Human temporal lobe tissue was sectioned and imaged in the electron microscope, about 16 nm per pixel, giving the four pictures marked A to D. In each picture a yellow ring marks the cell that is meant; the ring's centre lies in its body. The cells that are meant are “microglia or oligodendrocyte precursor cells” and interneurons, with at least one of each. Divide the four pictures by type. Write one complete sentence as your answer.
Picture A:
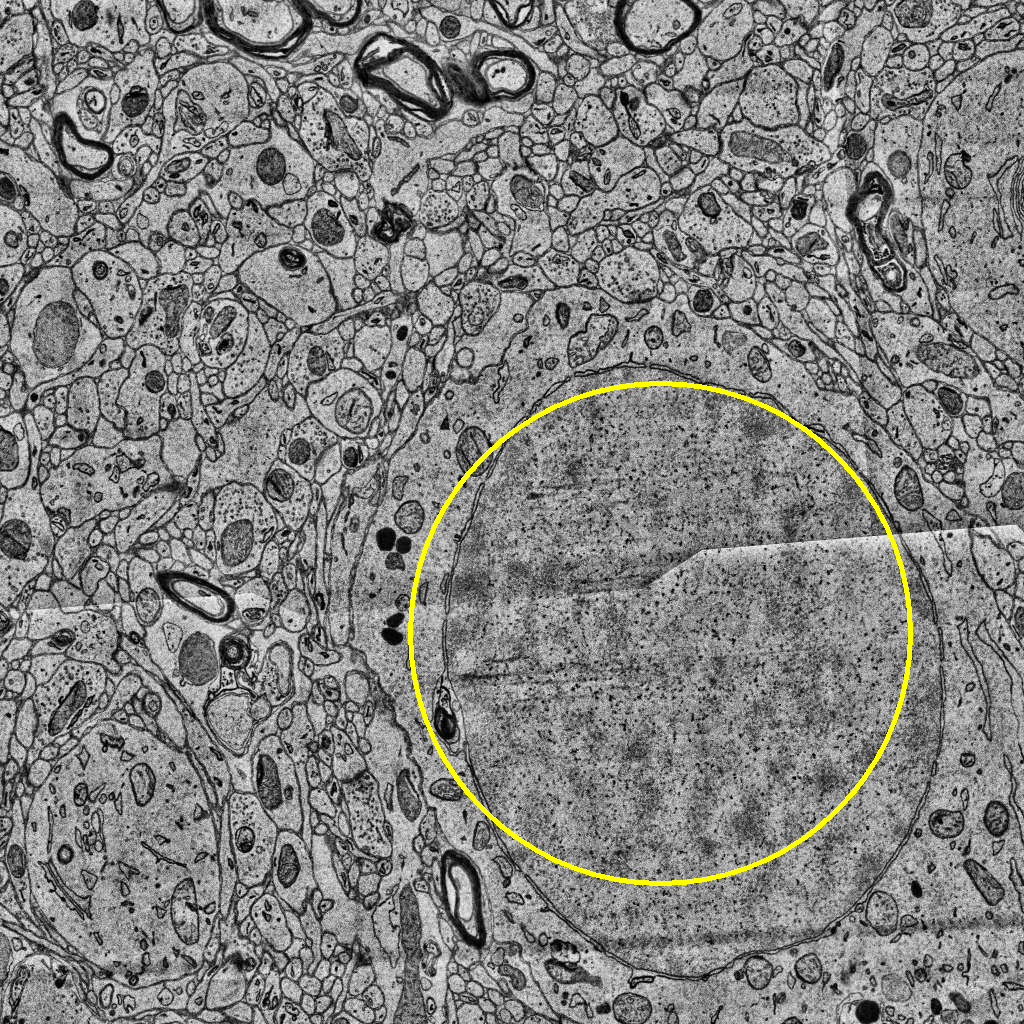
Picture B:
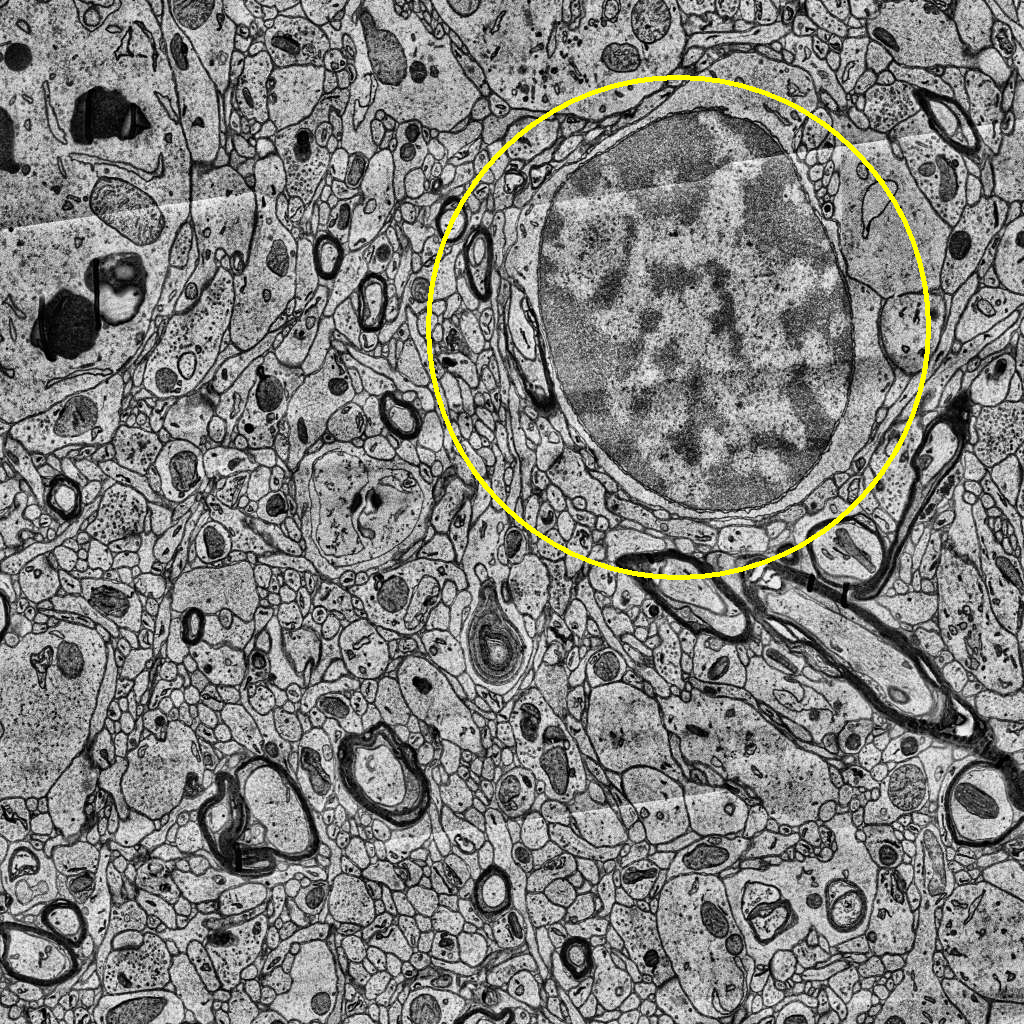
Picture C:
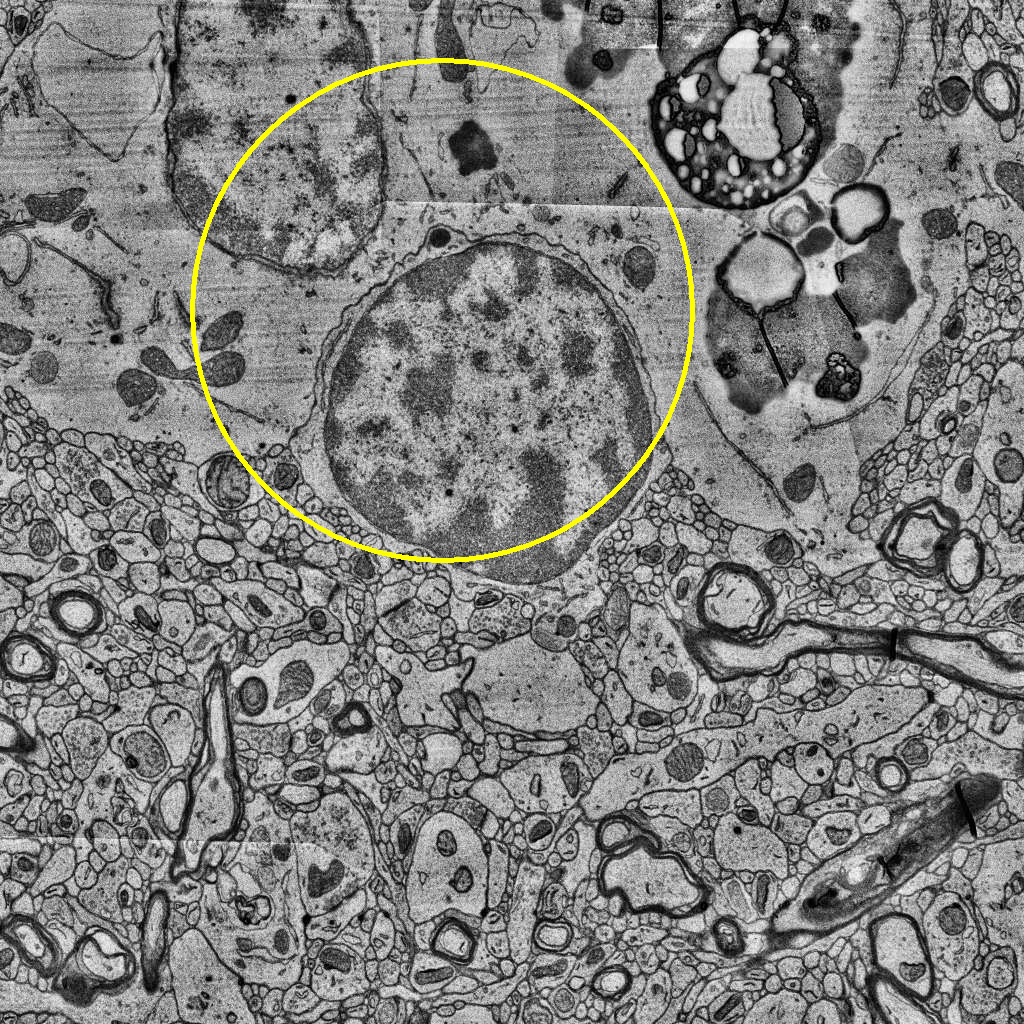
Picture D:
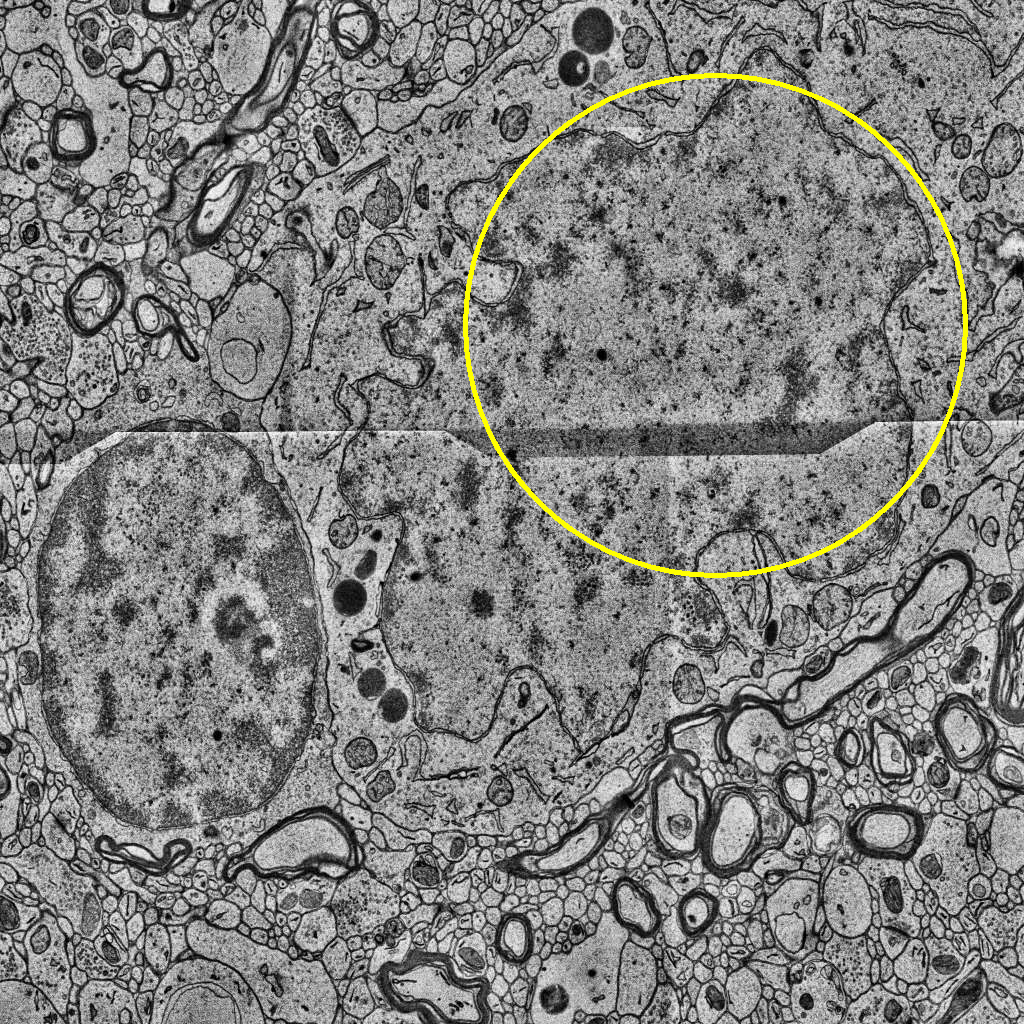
Pictures B and C show “microglia or oligodendrocyte precursor cells”, while pictures A and D show interneurons.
